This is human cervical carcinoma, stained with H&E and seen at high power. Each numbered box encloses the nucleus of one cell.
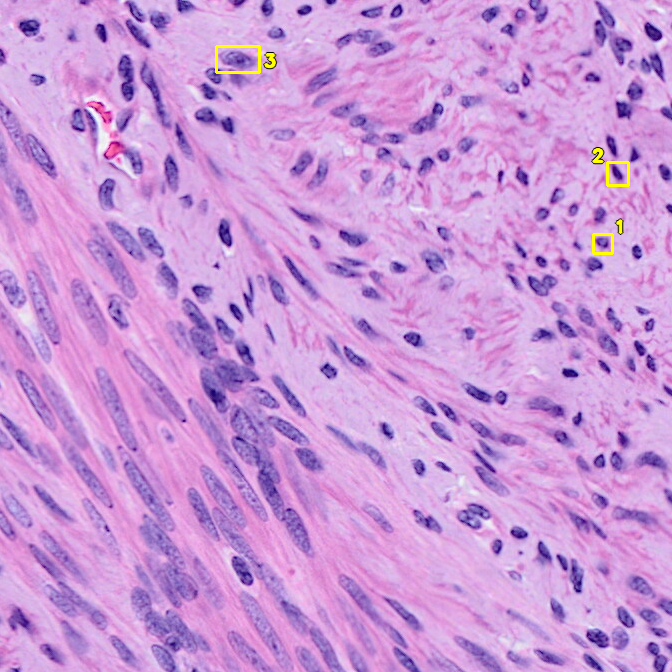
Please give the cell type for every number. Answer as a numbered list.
1. smooth muscle cell
2. smooth muscle cell
3. fibroblast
